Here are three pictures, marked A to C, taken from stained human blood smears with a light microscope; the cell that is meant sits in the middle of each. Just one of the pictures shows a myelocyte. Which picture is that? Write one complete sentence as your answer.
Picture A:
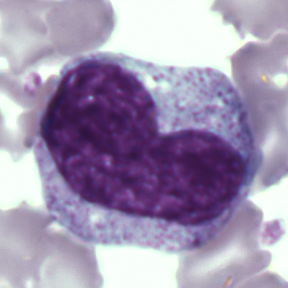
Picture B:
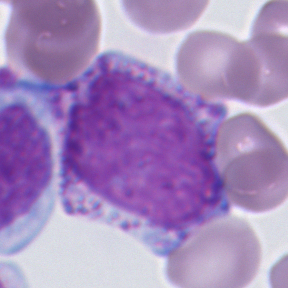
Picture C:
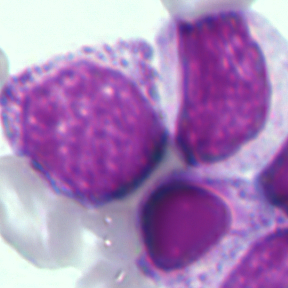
The picture with the myelocyte is C.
